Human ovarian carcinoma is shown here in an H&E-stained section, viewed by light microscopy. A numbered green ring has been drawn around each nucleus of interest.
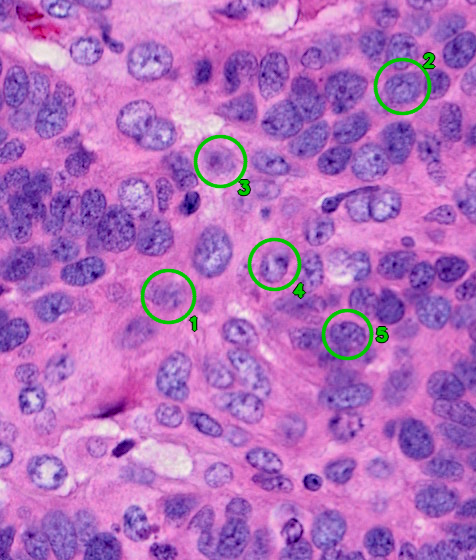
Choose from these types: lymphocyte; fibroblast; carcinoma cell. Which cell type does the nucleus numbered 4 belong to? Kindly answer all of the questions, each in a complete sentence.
The mark numbered 4 indicates the nucleus of a fibroblast.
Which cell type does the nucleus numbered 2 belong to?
In the tissue shown, cell 2 is a carcinoma cell.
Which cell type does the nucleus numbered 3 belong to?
Belonging to a fibroblast is the nucleus that carries the number 3.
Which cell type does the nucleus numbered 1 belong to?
In this section, the cell numbered 1 is a fibroblast.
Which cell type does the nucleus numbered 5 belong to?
Within this field of view, the cell labelled 5 is a carcinoma cell.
